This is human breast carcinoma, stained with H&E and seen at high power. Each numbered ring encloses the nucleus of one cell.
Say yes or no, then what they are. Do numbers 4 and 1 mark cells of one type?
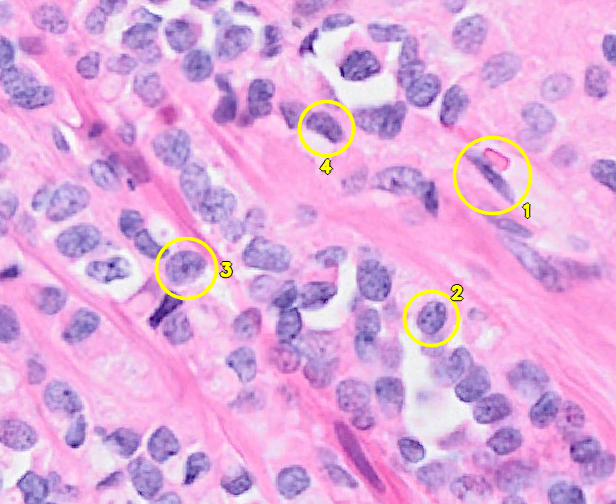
No, cell 4 is a carcinoma cell and cell 1 is an endothelial cell.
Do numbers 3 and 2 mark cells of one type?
Yes, both are carcinoma cells.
